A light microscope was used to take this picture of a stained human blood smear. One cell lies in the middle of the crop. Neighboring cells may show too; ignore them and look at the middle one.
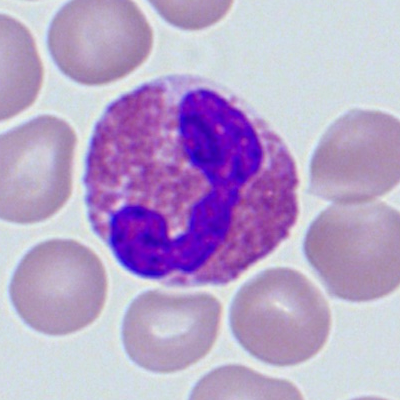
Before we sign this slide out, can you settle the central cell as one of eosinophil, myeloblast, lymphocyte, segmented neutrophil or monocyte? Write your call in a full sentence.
In the crop, the cell of interest at the centre is an eosinophil.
